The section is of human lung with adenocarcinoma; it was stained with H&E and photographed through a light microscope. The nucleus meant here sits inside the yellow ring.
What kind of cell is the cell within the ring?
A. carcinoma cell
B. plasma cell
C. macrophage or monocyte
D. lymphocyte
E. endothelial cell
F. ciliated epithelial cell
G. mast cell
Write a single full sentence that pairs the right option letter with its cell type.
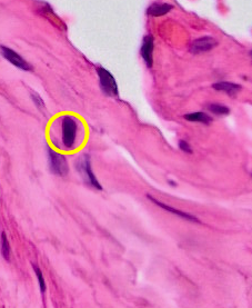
Option G names it right: the cell within the ring is a mast cell.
